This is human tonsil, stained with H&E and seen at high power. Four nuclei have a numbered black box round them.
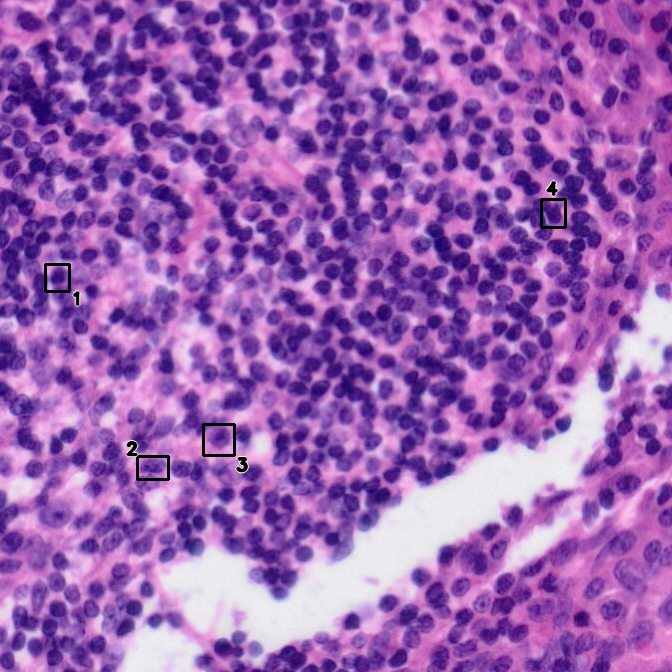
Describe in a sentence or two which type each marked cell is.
Cell 1 is a small lymphocyte, cell 2 is a small lymphocyte, cell 3 is a proliferating B cell and cell 4 is a small lymphocyte.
